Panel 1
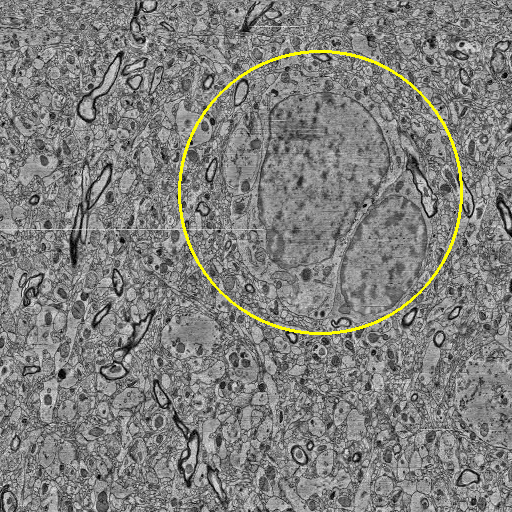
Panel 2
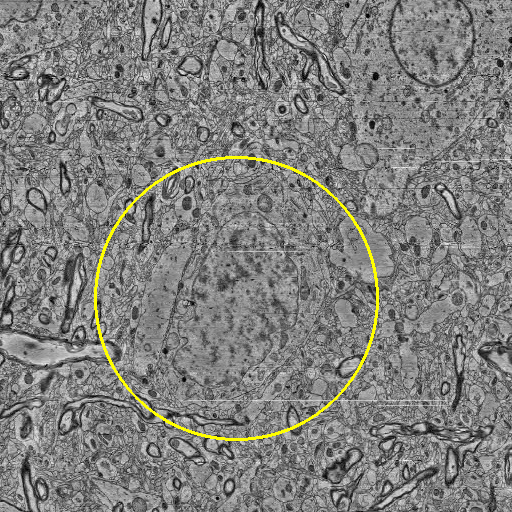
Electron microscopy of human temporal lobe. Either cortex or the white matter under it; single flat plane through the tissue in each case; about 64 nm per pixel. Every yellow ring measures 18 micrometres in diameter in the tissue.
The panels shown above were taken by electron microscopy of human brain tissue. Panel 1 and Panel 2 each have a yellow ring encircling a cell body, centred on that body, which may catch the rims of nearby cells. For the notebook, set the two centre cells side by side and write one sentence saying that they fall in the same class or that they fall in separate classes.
The centred cells of Panel 1 and Panel 2 fall in the same class.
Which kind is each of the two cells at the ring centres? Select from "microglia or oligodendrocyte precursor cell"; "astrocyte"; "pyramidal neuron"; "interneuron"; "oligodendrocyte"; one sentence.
The second cell is an interneuron, just as the first is.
